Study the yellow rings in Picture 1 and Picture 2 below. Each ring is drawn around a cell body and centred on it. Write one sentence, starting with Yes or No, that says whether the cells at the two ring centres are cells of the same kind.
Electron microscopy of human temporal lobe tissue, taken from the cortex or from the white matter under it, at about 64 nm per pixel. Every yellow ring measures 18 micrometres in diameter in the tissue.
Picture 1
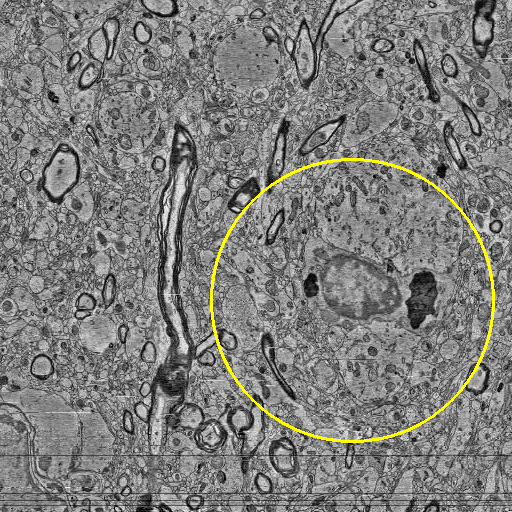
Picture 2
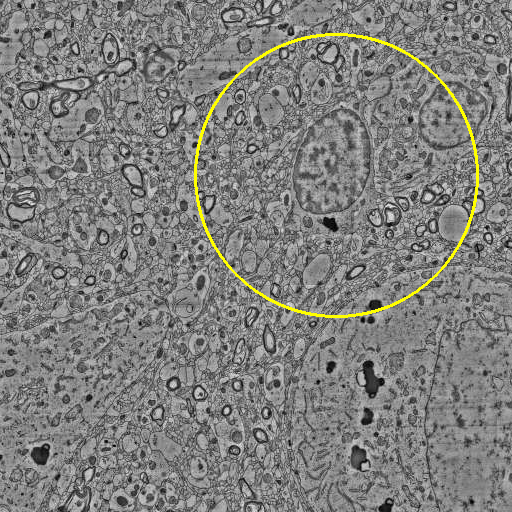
Yes, the cells at both ring centres are of the same kind.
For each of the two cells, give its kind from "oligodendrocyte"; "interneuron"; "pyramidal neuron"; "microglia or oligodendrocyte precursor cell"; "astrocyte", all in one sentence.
The ring centre holds an oligodendrocyte in each of the two pictures.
